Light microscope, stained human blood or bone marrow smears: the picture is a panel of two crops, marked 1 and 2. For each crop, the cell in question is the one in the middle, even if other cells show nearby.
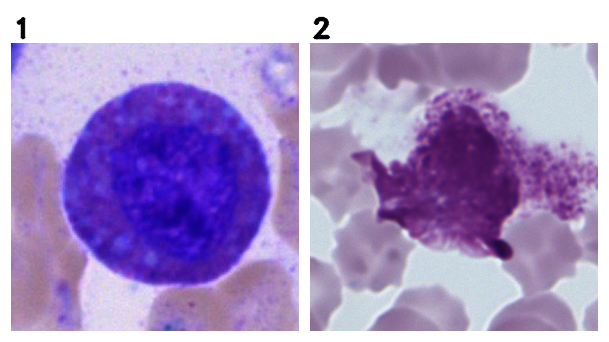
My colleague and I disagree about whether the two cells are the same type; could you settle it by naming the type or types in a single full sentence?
Yes, both crops show eosinophils, with no exception.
